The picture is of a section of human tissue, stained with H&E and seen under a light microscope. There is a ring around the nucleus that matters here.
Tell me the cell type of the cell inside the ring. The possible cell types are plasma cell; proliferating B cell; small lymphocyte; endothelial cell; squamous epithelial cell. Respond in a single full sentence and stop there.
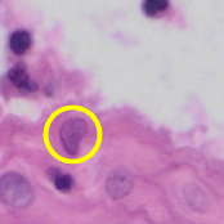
It is a squamous epithelial cell that the cell inside the ring represents.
